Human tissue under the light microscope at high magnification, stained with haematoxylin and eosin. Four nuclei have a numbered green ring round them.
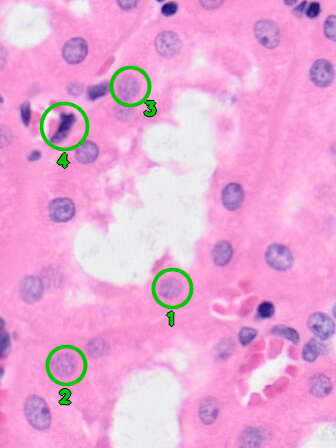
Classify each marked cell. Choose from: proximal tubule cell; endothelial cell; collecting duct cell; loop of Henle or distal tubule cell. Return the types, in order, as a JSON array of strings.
["proximal tubule cell", "proximal tubule cell", "proximal tubule cell", "endothelial cell"]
